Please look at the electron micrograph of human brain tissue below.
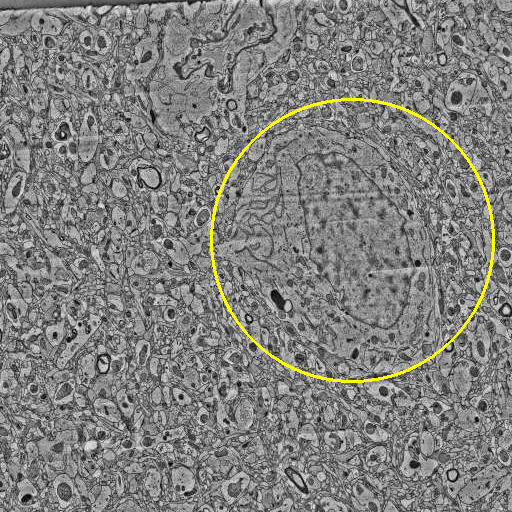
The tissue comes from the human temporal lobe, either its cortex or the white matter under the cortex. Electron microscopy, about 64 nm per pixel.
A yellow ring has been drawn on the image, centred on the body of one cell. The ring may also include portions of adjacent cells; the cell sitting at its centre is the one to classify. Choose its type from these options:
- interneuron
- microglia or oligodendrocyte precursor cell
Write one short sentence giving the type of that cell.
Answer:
The cell in the middle of the ring is an interneuron.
